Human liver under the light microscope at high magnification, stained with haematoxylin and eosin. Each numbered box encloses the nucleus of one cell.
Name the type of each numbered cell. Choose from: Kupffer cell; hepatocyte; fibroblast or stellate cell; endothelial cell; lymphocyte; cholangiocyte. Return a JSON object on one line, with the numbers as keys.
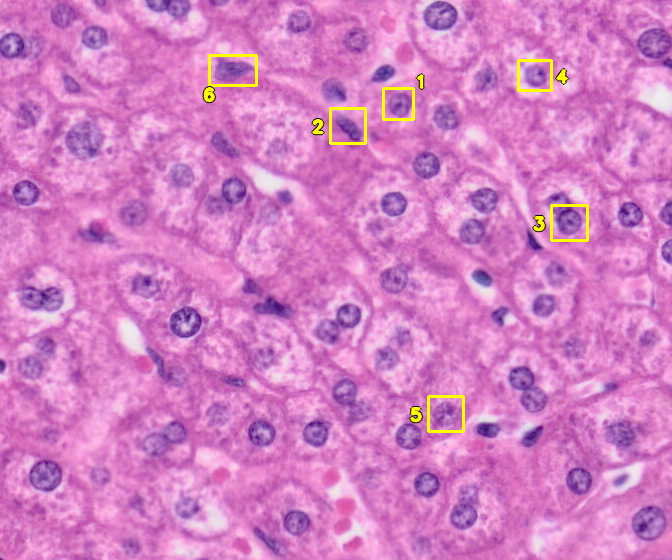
{"1": "hepatocyte", "2": "fibroblast or stellate cell", "3": "hepatocyte", "4": "hepatocyte", "5": "hepatocyte", "6": "Kupffer cell"}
